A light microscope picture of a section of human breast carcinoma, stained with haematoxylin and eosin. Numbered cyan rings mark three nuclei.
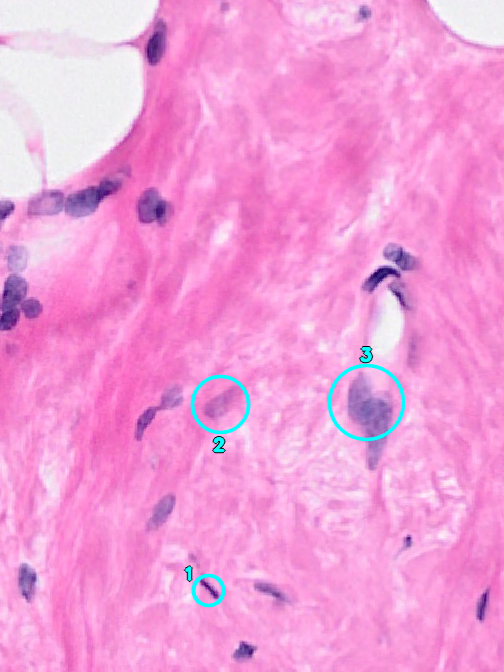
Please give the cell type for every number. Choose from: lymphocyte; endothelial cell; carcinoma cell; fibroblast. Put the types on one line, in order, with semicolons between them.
fibroblast; fibroblast; endothelial cell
